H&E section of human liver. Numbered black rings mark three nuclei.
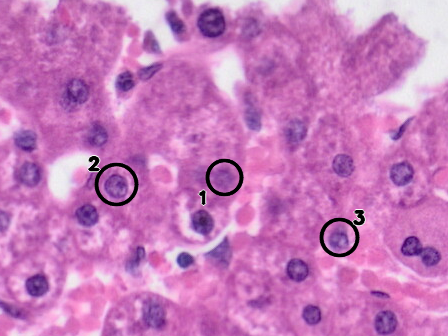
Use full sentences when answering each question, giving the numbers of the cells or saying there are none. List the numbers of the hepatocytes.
Cells 1 and 2 in the section are typed as hepatocytes.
